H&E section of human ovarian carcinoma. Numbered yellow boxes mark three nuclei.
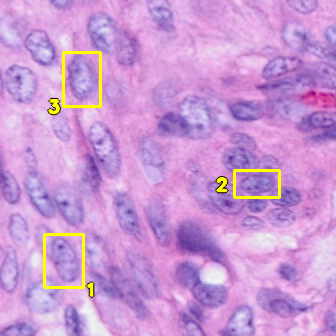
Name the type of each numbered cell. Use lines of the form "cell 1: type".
cell 1: fibroblast
cell 2: carcinoma cell
cell 3: fibroblast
